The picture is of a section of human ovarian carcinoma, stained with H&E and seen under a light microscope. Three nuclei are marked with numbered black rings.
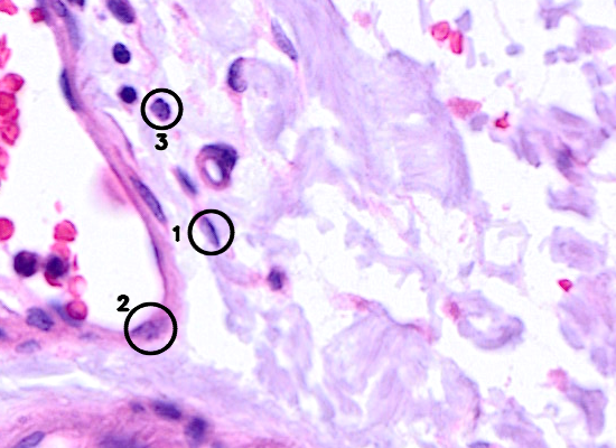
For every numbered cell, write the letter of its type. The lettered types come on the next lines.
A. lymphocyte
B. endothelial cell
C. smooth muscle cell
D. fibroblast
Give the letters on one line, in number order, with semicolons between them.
D; B; A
